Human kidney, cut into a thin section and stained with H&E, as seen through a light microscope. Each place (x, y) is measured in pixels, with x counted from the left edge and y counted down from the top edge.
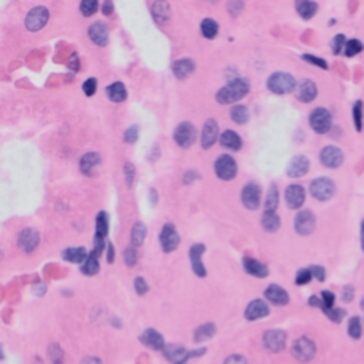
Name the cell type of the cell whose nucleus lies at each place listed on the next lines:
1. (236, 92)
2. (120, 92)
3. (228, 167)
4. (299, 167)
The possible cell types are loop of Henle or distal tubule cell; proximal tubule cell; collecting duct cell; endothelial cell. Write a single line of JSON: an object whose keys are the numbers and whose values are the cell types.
{"1": "collecting duct cell", "2": "loop of Henle or distal tubule cell", "3": "collecting duct cell", "4": "collecting duct cell"}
